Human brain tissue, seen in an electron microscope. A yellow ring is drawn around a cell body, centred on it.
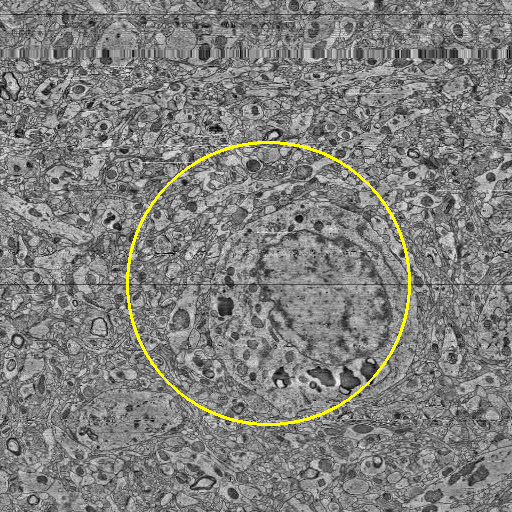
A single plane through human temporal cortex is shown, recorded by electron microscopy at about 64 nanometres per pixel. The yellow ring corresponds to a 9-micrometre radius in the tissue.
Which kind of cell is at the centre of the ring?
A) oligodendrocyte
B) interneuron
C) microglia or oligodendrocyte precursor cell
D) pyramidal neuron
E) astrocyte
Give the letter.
B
